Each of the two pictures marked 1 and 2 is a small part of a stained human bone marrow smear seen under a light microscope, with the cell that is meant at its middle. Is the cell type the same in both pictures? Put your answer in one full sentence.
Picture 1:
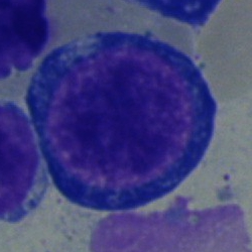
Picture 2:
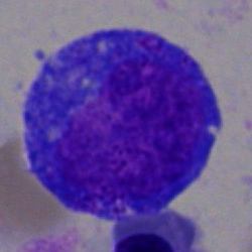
Yes, the two pictures both show proerythroblasts.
